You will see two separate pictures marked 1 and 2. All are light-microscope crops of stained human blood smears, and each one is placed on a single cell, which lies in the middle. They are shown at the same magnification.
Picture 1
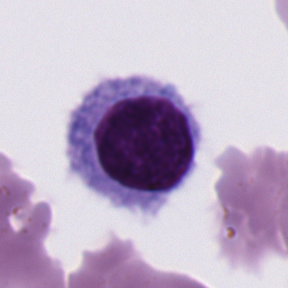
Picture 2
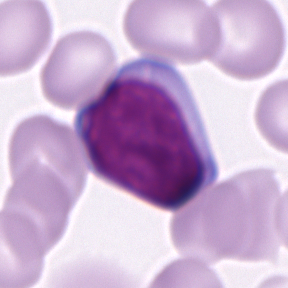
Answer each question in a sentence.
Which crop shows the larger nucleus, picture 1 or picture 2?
Larger is the nucleus in picture 2, at roughly 1.5 times the area of the other.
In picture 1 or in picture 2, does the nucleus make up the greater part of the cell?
In picture 2 the nucleus takes up the larger part of its cell.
